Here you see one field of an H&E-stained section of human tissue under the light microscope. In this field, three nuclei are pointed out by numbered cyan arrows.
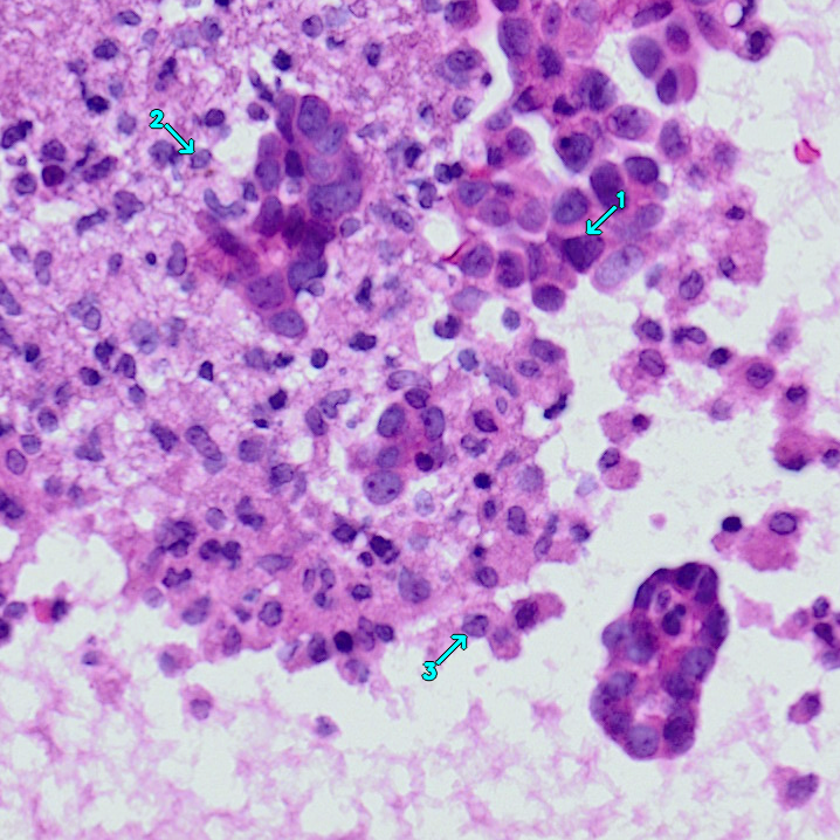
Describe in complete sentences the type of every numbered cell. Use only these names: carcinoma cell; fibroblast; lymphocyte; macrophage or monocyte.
Cell 1 is a carcinoma cell. Cells 2 and 3 are macrophages or monocytes.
